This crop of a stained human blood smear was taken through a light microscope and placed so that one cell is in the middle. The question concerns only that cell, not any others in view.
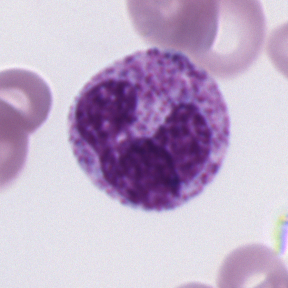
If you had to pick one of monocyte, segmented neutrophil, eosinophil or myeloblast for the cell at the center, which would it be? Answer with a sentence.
The identification for the central cell is an eosinophil.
